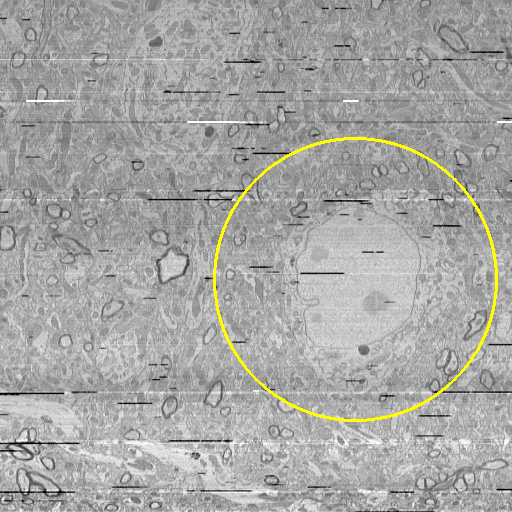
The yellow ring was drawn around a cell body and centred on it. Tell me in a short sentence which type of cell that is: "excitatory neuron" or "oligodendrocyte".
The cell at the ring's centre is an excitatory neuron.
